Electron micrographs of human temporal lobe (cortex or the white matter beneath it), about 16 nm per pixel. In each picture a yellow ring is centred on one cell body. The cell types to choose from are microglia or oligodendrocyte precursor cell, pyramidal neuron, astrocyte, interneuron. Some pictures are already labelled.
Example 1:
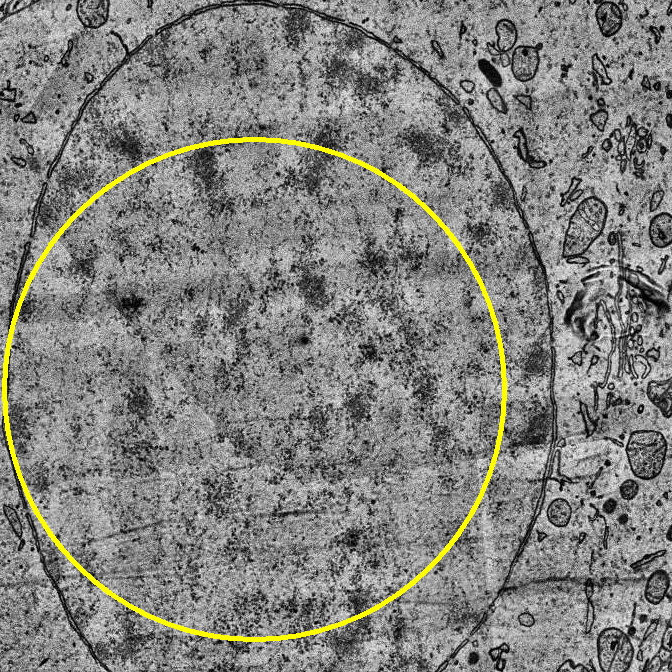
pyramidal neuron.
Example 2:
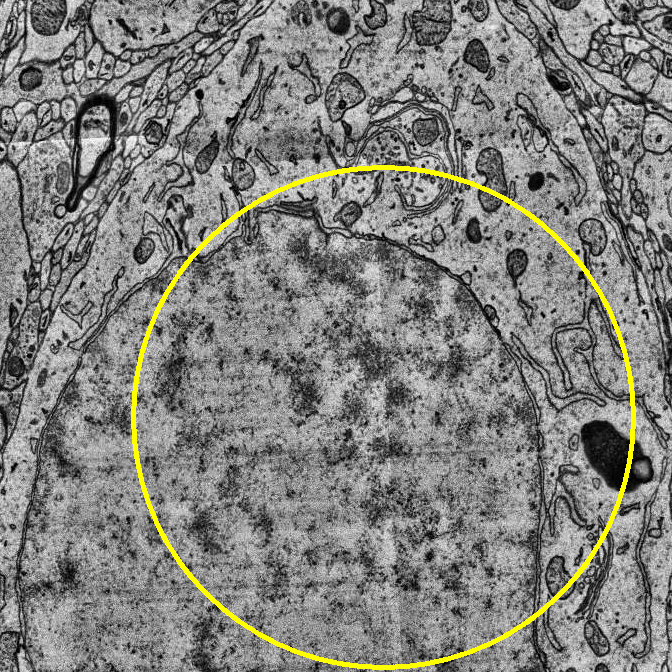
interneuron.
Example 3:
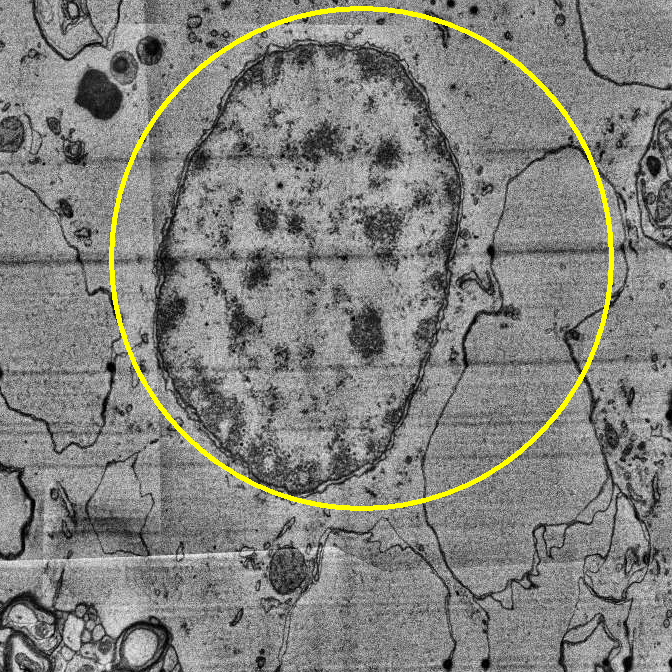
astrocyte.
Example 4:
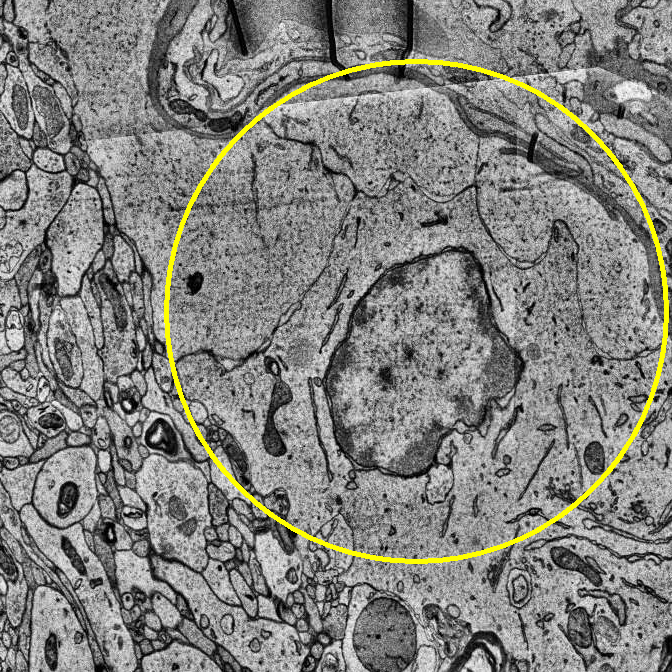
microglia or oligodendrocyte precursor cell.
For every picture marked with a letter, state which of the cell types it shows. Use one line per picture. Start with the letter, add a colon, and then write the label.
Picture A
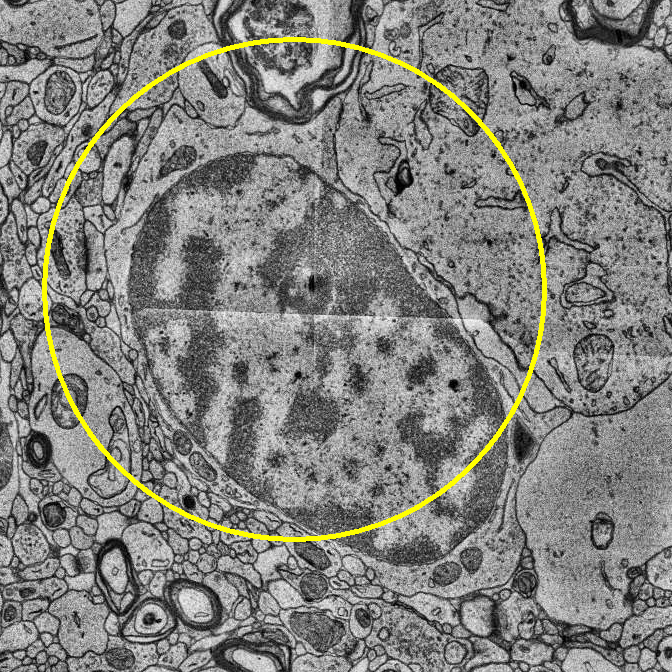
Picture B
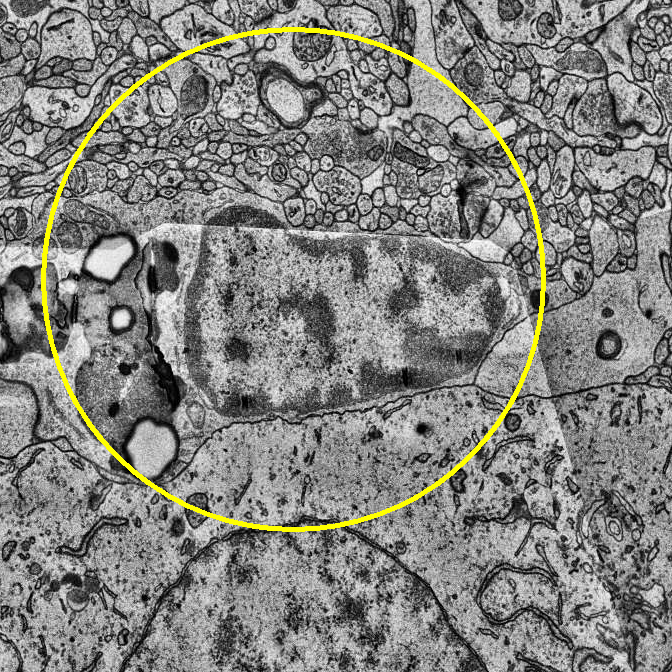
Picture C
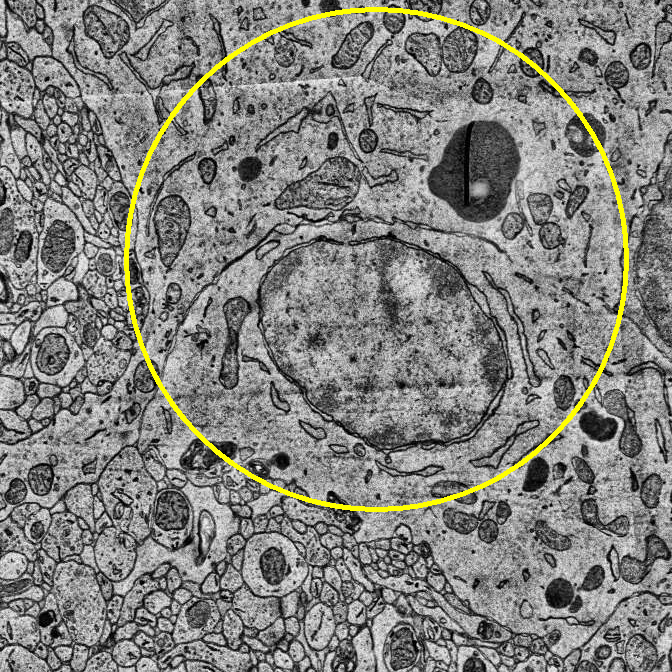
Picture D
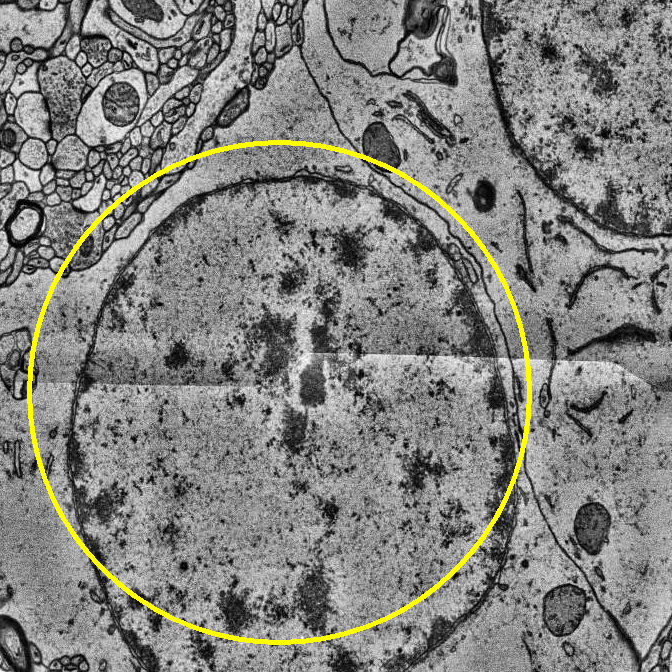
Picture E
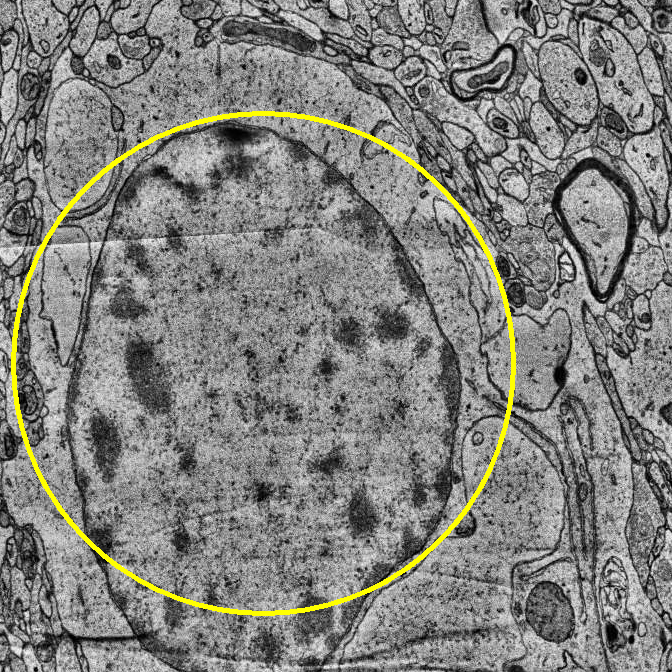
A: microglia or oligodendrocyte precursor cell.
B: microglia or oligodendrocyte precursor cell.
C: microglia or oligodendrocyte precursor cell.
D: astrocyte.
E: astrocyte.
